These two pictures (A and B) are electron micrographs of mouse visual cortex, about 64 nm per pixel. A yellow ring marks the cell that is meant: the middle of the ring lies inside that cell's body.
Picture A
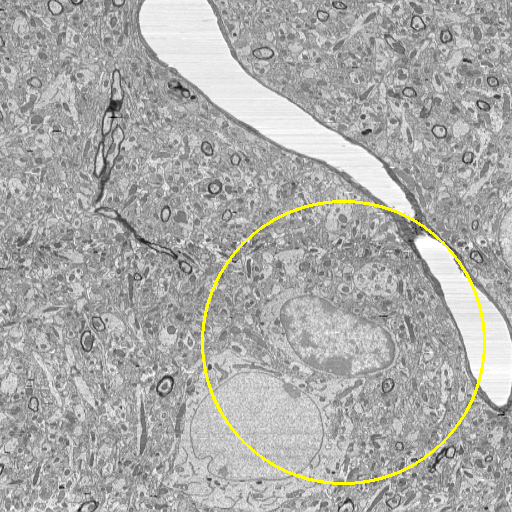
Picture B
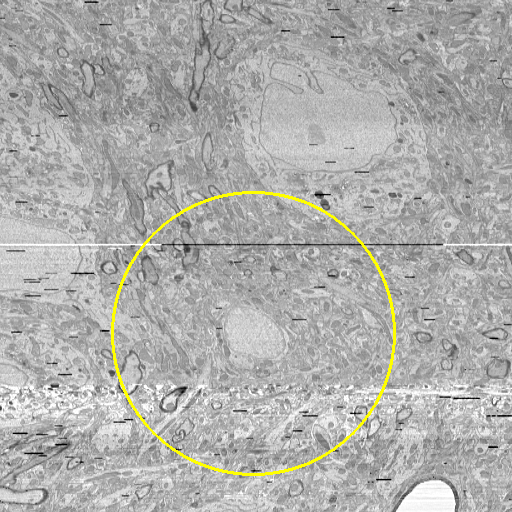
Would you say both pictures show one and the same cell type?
No; the cell in picture A is an oligodendrocyte, while the one in picture B is an oligodendrocyte precursor cell.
